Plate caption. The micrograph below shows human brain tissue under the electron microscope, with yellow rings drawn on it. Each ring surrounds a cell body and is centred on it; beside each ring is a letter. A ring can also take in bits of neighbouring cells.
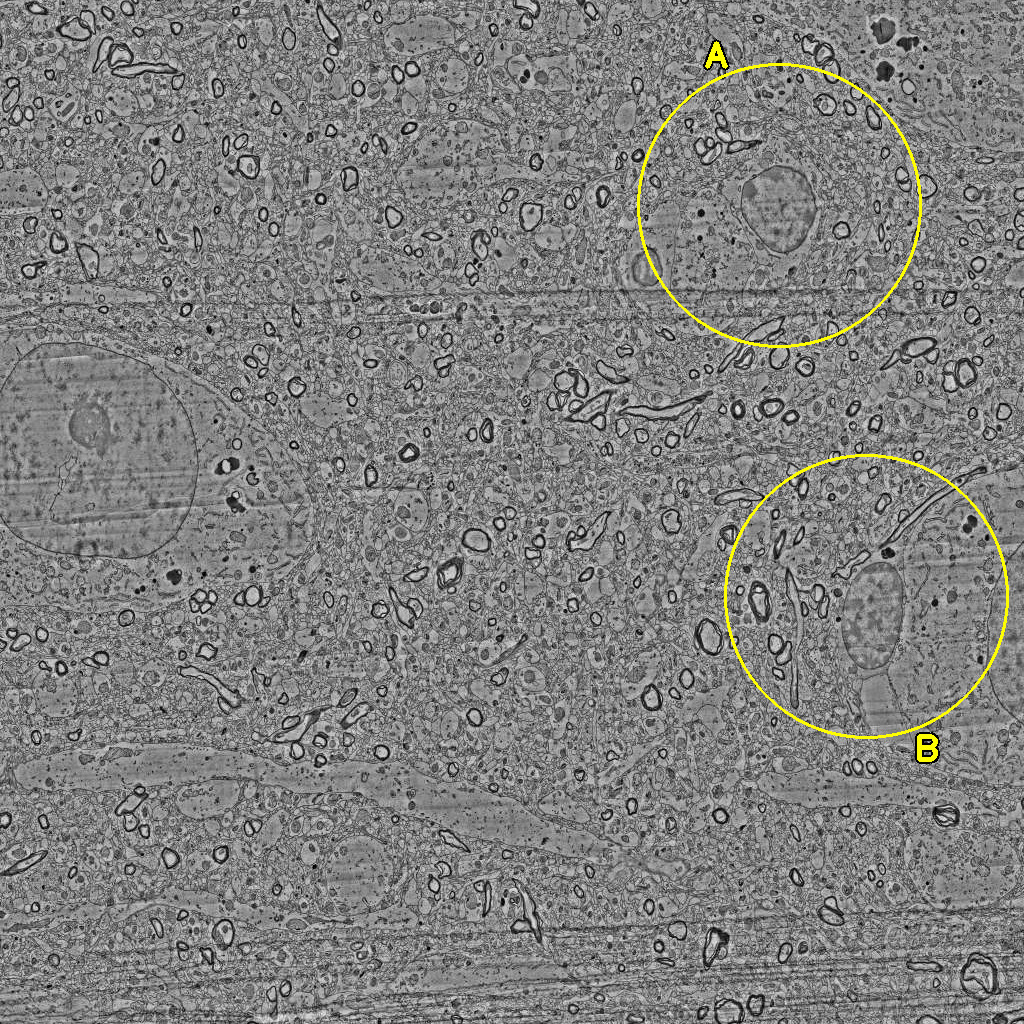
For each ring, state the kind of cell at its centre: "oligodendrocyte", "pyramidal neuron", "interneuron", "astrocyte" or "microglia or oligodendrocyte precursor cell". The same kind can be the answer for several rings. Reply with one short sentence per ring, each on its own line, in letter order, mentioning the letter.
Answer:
Ring A is drawn around a microglial cell or oligodendrocyte precursor cell.
Ring B is drawn around an oligodendrocyte.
